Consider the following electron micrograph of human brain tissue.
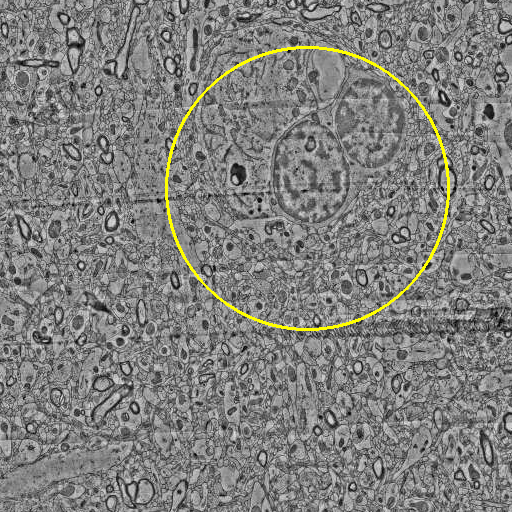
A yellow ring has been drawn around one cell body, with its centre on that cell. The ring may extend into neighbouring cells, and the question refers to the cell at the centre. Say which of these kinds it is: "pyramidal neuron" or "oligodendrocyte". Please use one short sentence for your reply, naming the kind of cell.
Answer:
The centre of the ring falls on an oligodendrocyte.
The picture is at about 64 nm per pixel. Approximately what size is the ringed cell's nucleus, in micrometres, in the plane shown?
In this plane the nucleus is about 7 micrometres by 5.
